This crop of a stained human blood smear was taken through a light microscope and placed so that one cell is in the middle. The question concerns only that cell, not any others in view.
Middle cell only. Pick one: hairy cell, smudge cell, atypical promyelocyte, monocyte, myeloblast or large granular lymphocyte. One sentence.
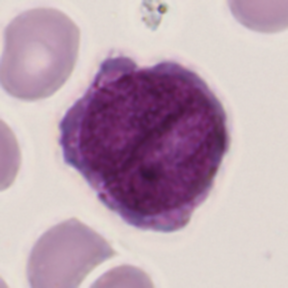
To answer, the cell in the center of the crop is an atypical promyelocyte.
